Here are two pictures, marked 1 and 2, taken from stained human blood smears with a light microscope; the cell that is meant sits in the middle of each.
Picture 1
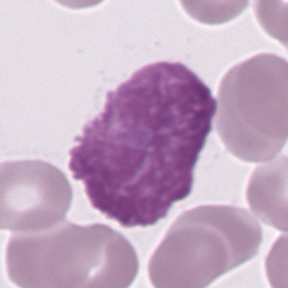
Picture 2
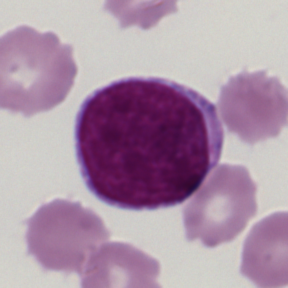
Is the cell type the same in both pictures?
no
